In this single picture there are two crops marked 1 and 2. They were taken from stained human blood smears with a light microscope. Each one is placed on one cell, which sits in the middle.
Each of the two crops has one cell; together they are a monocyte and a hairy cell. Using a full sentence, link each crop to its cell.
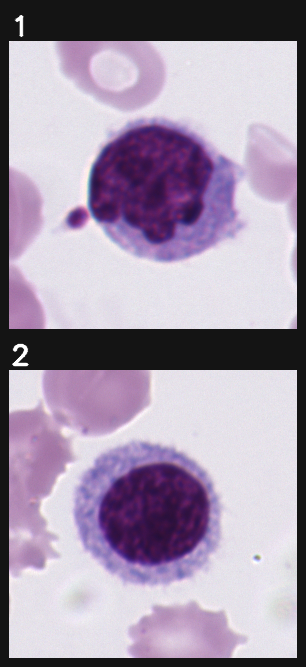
Crop 1 is identified as a monocyte, and crop 2 is identified as a hairy cell.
